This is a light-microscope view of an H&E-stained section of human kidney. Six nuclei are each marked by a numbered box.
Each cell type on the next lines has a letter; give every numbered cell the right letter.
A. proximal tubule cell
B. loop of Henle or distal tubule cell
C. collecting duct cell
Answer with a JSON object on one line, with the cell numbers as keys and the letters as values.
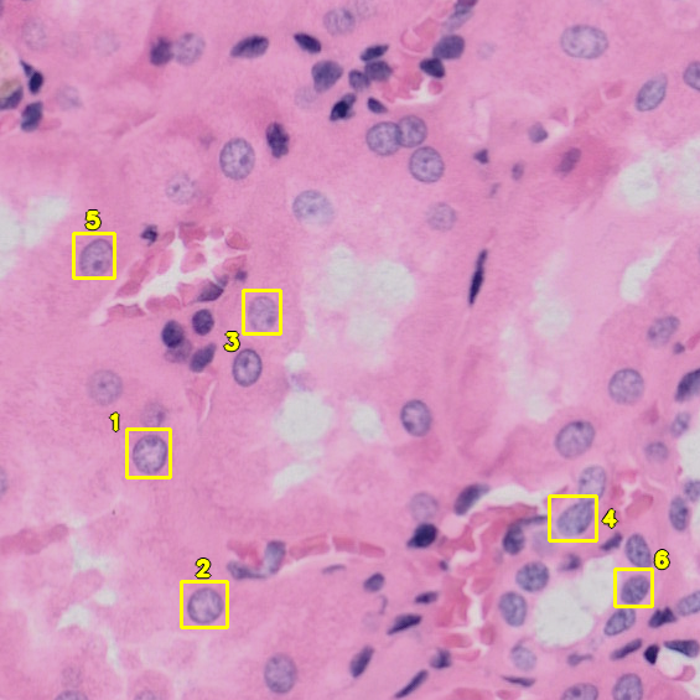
{"1": "A", "2": "A", "3": "A", "4": "C", "5": "A", "6": "C"}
